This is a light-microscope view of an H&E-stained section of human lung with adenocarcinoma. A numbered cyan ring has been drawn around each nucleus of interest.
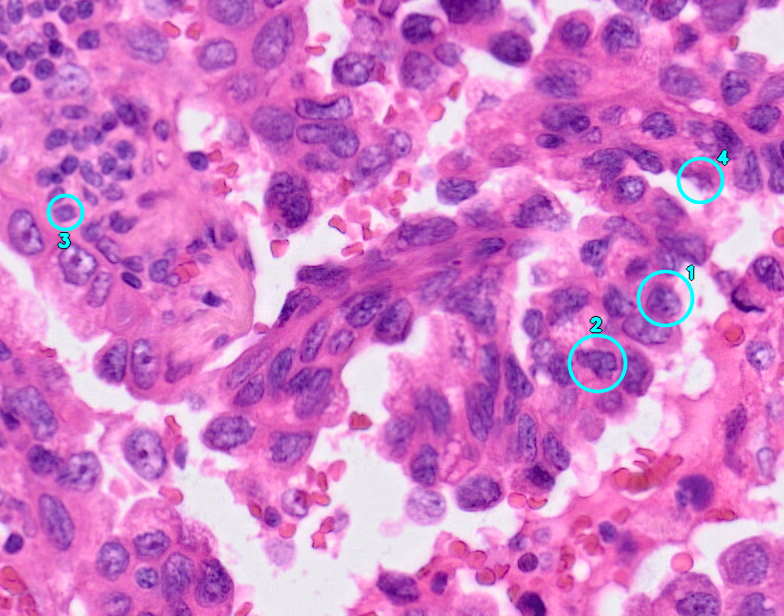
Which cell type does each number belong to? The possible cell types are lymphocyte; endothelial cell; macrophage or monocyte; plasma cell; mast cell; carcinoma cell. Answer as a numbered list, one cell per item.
1. carcinoma cell
2. carcinoma cell
3. lymphocyte
4. carcinoma cell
